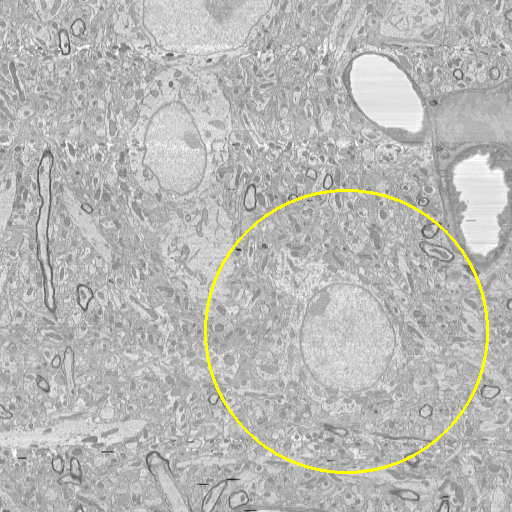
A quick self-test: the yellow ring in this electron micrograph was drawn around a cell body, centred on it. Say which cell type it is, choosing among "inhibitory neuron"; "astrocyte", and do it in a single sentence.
The yellow-ringed cell is an astrocyte.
